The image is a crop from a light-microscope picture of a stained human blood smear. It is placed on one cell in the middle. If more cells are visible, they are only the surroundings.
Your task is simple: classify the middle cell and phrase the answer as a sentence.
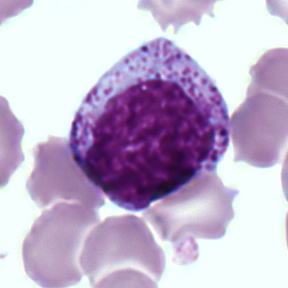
The cell in the middle of this crop is a myelocyte.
